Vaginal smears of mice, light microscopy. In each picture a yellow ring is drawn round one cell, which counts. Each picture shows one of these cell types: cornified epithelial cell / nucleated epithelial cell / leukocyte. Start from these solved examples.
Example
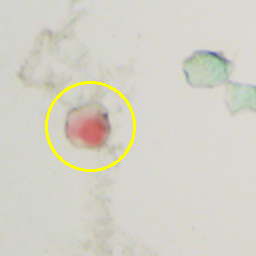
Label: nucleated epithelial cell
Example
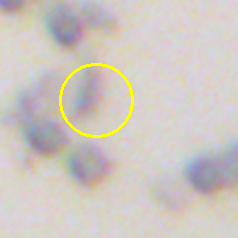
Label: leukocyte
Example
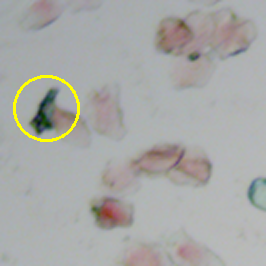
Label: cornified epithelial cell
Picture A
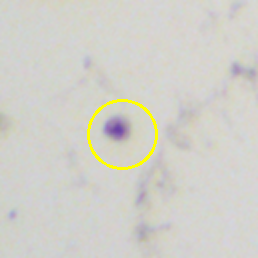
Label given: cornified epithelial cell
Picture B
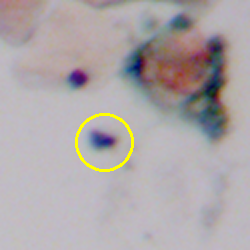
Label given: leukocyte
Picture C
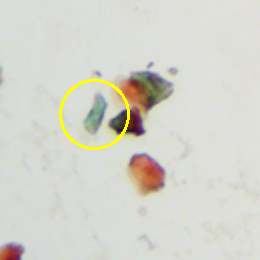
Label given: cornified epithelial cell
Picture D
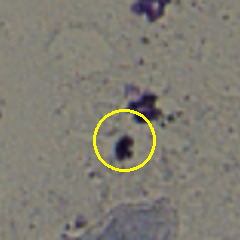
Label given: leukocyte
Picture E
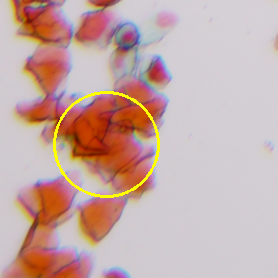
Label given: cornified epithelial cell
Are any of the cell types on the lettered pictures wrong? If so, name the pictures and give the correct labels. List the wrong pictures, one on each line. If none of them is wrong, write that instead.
Wrong: A (cornified epithelial cell); correct: leukocyte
